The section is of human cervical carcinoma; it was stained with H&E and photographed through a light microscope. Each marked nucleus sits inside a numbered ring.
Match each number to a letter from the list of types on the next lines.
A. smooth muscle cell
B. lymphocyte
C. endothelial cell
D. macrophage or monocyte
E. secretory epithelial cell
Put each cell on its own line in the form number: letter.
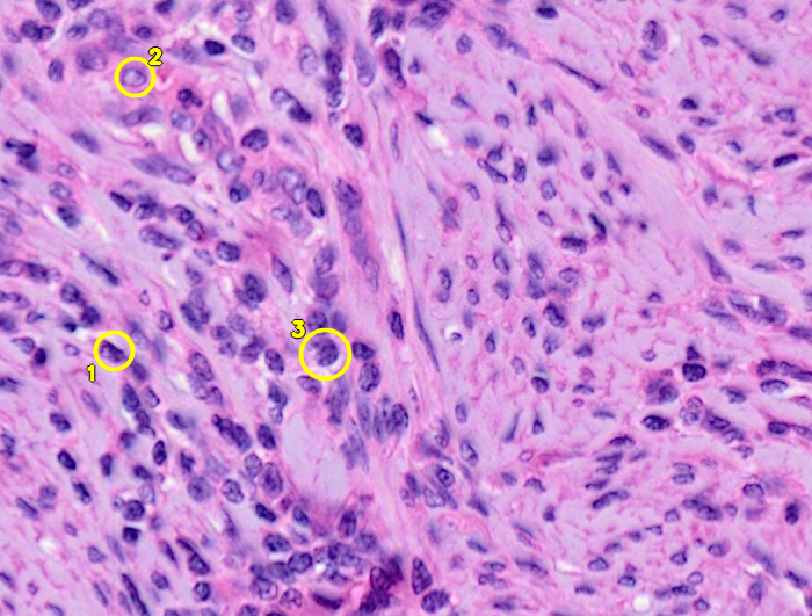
1: B
2: C
3: B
